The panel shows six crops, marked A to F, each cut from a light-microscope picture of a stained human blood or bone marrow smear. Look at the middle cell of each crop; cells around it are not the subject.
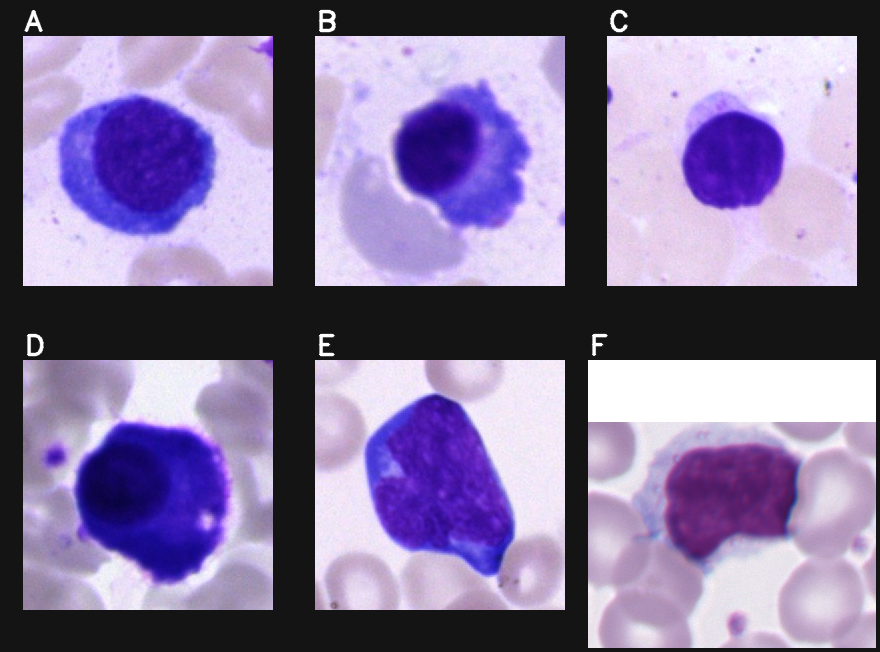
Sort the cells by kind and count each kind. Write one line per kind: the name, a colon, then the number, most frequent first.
plasma cell: 3
lymphocyte: 2
blast: 1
